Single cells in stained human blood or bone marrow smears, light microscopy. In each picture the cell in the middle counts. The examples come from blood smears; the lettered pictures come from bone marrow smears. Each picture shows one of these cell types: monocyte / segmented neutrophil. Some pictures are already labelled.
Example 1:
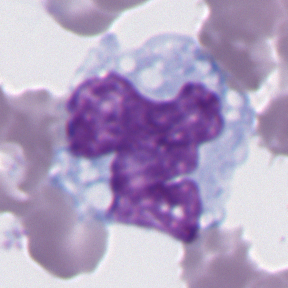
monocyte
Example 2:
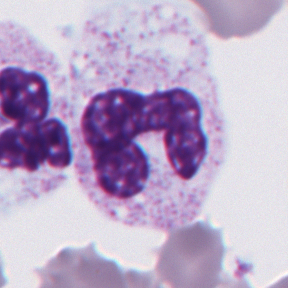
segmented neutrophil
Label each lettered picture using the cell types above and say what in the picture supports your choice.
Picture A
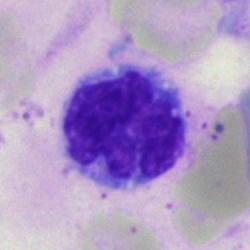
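monocyte. Evidence: The nucleus fills most of the cell.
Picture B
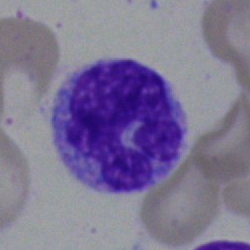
monocyte. Evidence: The nucleus fills most of the cell.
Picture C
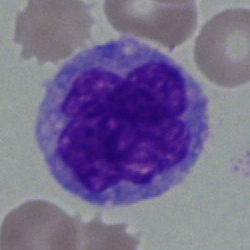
monocyte. Evidence: The nucleus fills most of the cell, leaving a rim of cytoplasm on all sides.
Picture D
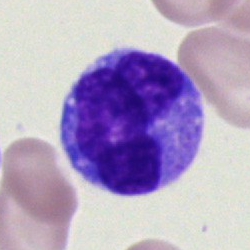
monocyte. Evidence: The nucleus fills most of the cell, leaving the widest band of cytoplasm on the right.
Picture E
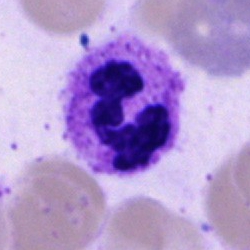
segmented neutrophil. Evidence: The cytoplasm is plentiful and pinkish-lilac.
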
